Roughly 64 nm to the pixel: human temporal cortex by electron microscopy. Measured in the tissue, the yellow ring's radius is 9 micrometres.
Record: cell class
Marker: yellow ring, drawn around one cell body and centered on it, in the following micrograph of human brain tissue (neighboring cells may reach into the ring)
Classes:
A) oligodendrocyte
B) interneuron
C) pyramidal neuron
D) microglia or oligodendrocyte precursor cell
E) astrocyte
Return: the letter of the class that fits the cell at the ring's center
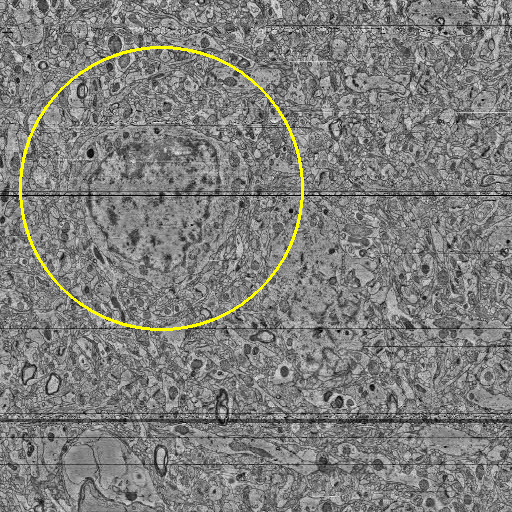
B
